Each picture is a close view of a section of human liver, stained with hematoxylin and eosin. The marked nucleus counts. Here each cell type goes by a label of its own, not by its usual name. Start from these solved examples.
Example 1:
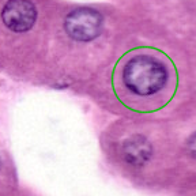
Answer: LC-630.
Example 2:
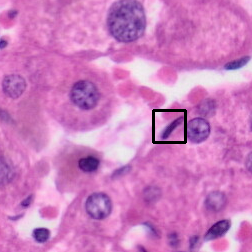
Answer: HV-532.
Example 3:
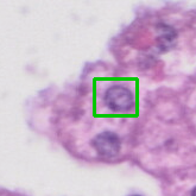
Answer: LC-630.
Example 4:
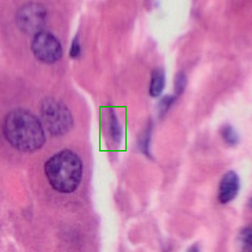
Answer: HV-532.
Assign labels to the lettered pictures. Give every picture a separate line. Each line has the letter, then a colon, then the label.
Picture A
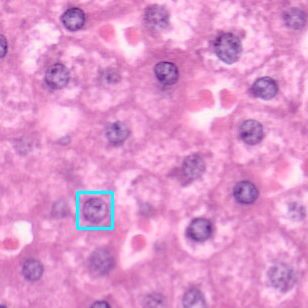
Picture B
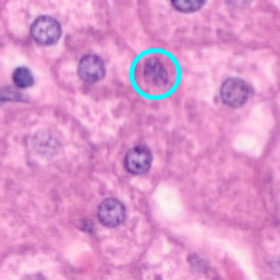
A: LC-630.
B: HV-532.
